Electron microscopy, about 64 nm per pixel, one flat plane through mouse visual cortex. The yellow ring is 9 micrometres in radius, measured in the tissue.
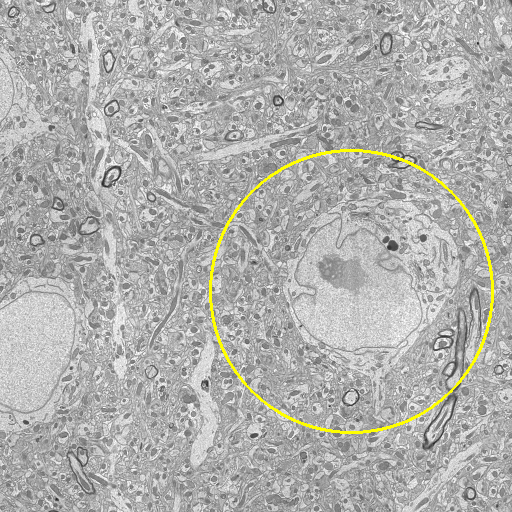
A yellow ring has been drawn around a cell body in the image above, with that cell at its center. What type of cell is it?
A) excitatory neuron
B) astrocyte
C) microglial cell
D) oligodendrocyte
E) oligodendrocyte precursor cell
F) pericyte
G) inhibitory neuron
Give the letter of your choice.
G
